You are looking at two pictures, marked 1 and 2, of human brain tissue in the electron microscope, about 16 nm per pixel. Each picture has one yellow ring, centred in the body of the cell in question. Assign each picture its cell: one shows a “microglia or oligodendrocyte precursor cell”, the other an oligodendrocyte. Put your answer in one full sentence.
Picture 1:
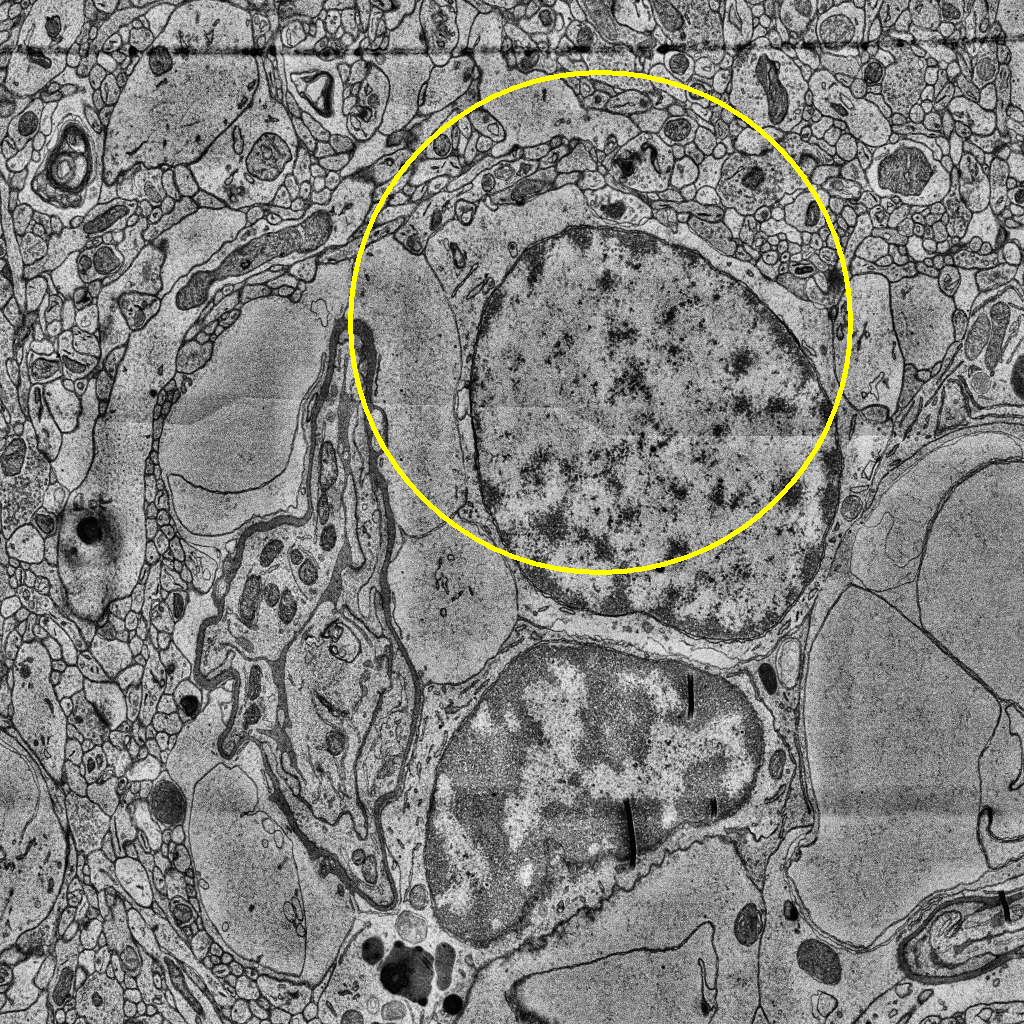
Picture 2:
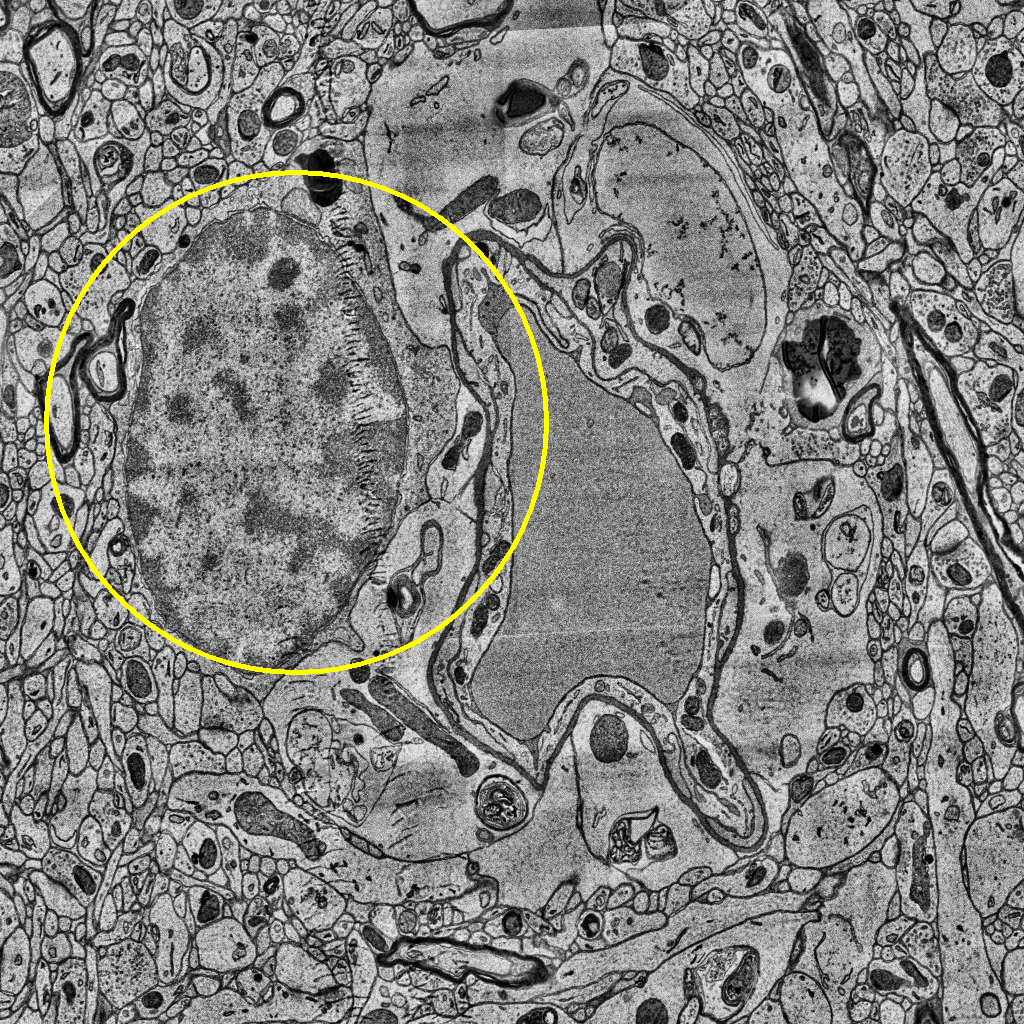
The cell in picture 1 is a “microglia or oligodendrocyte precursor cell”, and the one in picture 2 is an oligodendrocyte.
